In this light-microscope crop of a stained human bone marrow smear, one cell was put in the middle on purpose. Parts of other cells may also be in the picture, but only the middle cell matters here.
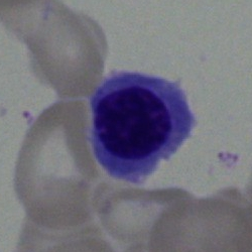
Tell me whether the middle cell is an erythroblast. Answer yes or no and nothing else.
yes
